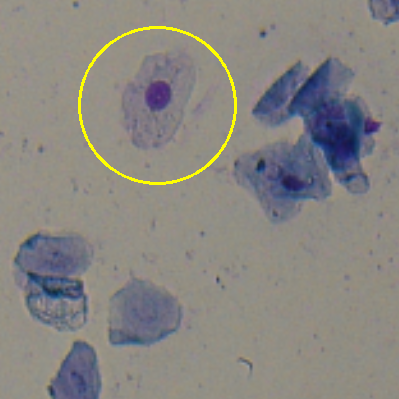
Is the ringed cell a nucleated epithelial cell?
Yes, it is a nucleated epithelial cell.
